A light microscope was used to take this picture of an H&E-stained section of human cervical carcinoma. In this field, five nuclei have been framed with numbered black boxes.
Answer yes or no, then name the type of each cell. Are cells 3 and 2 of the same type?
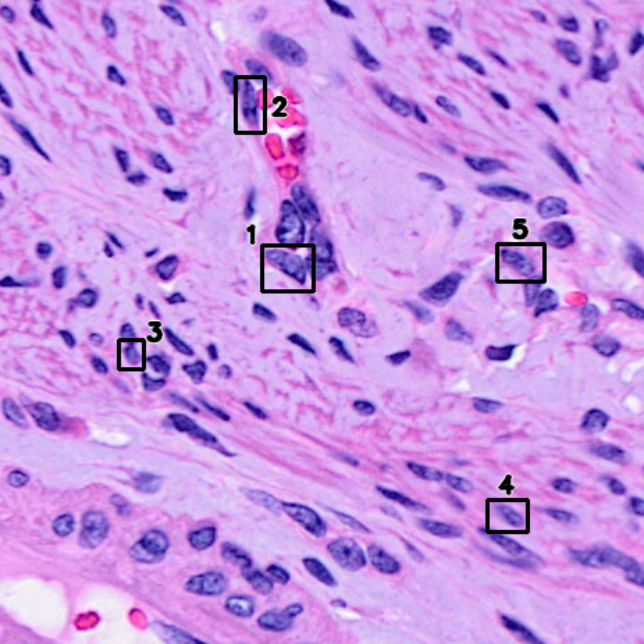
No, sorry to say, cell 3 is a smooth muscle cell and cell 2 is an endothelial cell.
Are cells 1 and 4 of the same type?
No, cell 1 is recognized as an endothelial cell, and cell 4 as a smooth muscle cell.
